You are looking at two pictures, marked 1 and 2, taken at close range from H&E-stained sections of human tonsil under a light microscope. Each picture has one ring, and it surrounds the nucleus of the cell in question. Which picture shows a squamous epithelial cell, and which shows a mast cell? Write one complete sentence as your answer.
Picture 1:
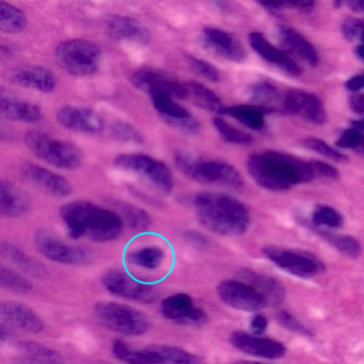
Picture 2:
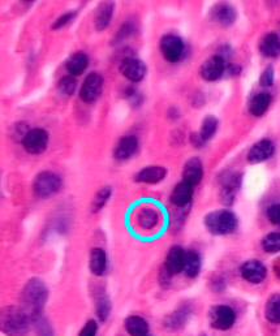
It is picture 1 that shows a squamous epithelial cell, and picture 2 that shows a mast cell.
